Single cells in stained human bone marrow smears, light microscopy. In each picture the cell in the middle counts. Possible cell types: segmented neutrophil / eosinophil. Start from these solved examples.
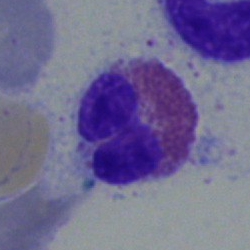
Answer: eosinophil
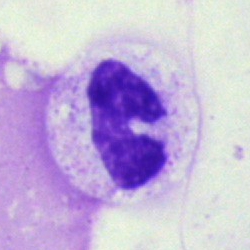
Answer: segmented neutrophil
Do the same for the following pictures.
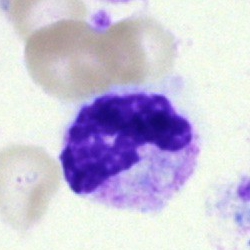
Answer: segmented neutrophil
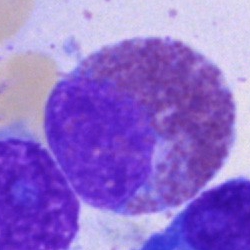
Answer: eosinophil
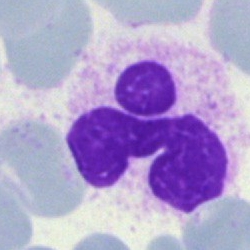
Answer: segmented neutrophil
